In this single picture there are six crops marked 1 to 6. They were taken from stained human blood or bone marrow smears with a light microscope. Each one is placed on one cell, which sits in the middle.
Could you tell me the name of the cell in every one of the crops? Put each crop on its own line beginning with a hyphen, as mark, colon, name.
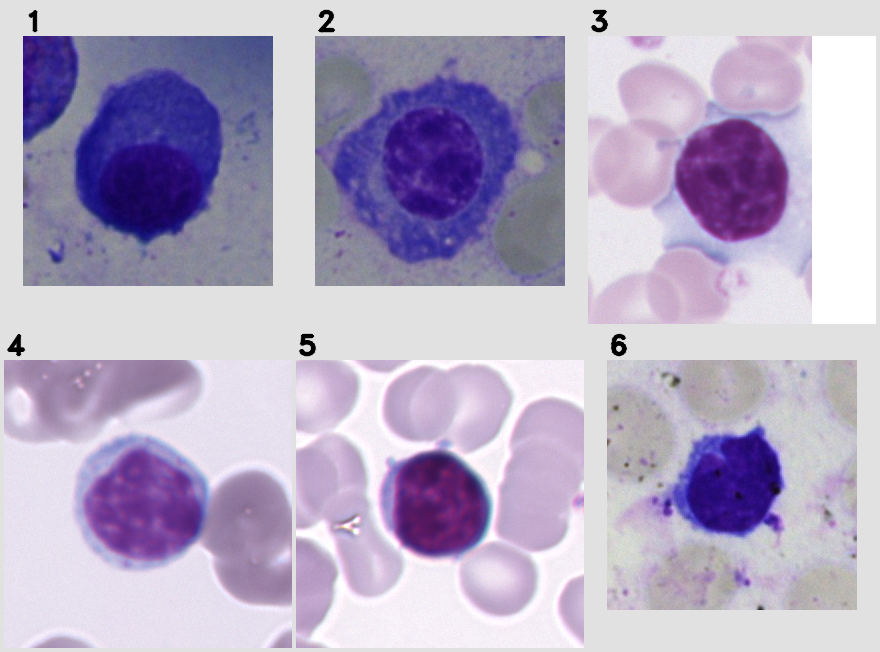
- 1: plasma cell
- 2: plasma cell
- 3: lymphocyte
- 4: lymphocyte
- 5: lymphocyte
- 6: lymphocyte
